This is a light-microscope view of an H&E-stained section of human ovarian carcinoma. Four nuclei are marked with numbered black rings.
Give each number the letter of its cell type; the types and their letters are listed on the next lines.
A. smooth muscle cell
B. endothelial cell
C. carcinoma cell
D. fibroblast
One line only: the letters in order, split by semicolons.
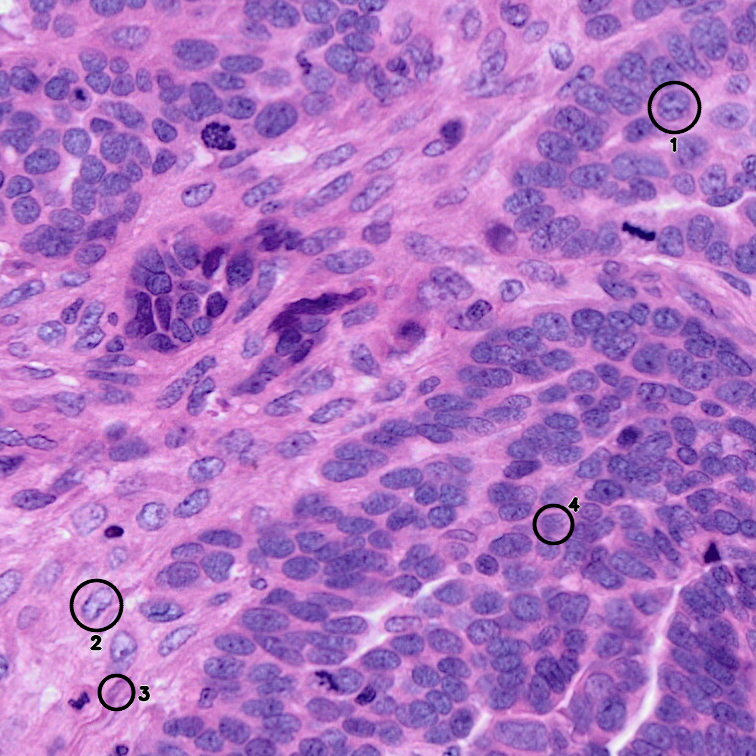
C; D; D; C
